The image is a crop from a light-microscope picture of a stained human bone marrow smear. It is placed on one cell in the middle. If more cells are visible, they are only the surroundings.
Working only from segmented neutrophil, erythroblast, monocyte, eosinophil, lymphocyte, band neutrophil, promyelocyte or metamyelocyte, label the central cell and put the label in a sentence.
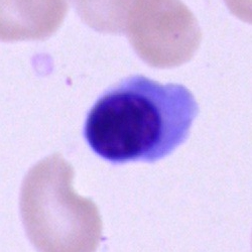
In the centre of this crop there is an erythroblast.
